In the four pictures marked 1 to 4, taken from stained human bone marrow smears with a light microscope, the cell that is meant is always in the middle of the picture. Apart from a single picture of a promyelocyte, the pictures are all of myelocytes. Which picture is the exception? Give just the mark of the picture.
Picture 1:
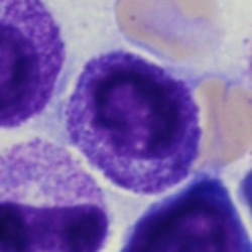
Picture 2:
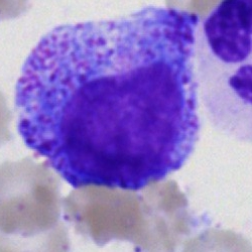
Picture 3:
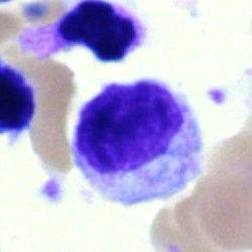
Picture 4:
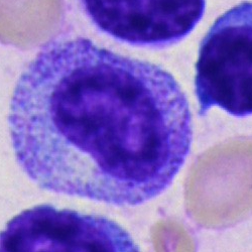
2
